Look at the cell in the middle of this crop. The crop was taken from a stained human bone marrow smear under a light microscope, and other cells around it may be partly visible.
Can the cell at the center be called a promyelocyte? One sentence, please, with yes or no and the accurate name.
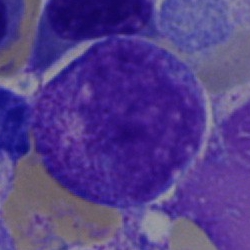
Yes, the cell in the middle is recognised as a promyelocyte.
